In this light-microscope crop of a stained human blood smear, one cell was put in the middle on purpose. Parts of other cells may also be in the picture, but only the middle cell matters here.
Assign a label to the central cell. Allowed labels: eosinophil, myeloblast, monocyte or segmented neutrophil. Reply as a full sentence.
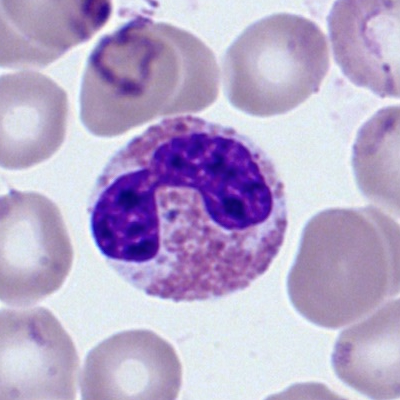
Framed in the middle of the crop is an eosinophil.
